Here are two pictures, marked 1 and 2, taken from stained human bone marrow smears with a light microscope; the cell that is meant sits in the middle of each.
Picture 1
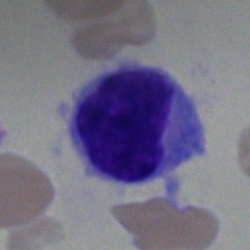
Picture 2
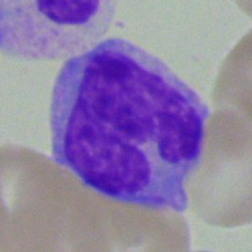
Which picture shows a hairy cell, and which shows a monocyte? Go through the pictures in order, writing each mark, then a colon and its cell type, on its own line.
1: hairy cell
2: monocyte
